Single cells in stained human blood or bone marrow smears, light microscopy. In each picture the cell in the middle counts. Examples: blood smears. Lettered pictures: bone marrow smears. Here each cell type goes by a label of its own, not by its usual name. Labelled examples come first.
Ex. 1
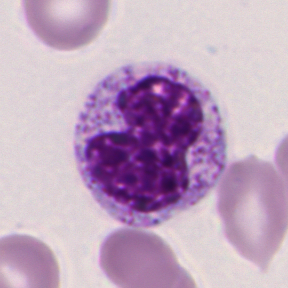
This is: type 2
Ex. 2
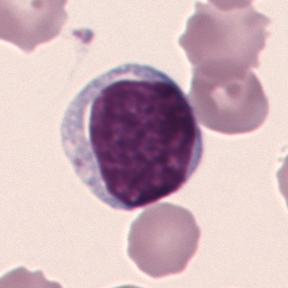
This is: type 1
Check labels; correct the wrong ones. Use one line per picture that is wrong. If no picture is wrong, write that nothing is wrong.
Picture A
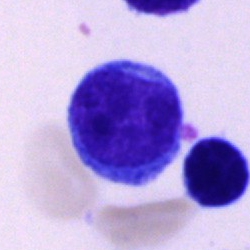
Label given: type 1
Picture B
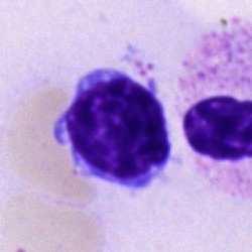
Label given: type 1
All correct.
